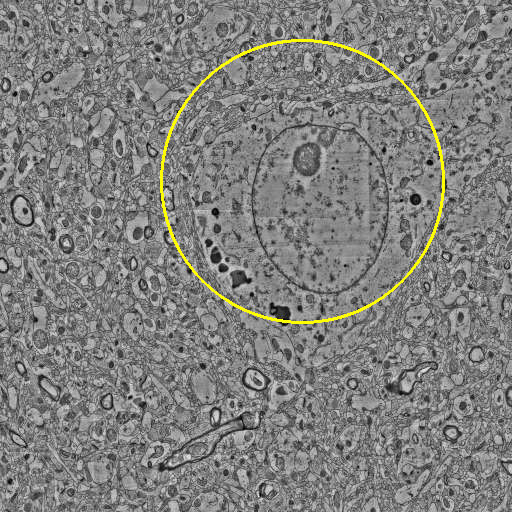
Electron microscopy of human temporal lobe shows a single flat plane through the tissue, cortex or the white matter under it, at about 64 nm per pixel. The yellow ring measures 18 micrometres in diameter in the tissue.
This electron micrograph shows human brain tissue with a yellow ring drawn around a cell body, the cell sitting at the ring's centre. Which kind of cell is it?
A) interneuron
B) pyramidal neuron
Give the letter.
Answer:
B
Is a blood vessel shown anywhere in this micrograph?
No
